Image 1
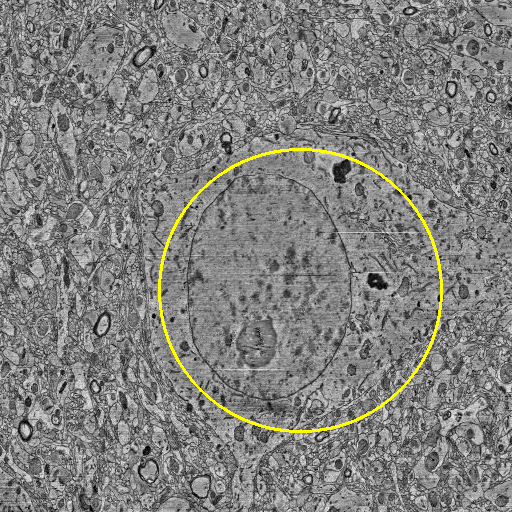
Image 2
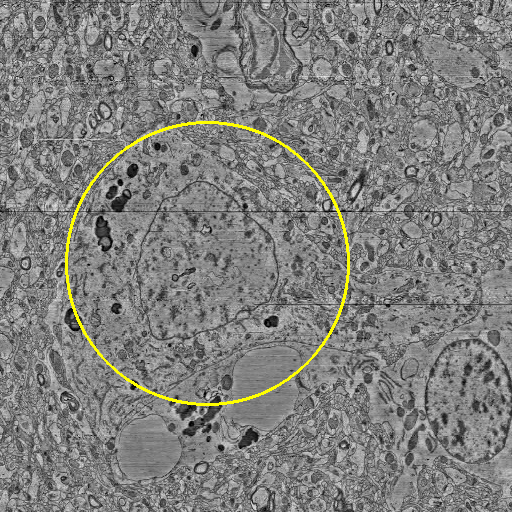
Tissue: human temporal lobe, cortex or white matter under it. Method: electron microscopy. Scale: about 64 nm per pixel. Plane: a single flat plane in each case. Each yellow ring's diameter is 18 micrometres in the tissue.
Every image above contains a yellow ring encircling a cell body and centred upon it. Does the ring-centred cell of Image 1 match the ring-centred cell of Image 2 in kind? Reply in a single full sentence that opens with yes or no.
Yes, the cell at the ring's centre in Image 1 is the same kind as that in Image 2.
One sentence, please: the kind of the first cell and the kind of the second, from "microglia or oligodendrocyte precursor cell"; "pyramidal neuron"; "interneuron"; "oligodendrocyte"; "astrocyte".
Each of the two pictures has a pyramidal neuron at the ring centre.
